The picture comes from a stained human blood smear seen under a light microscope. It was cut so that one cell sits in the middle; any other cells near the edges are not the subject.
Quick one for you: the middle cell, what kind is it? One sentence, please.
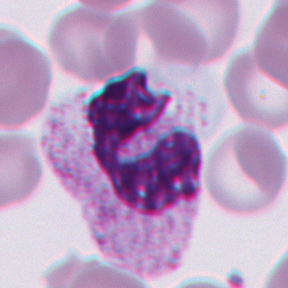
For this crop, the central cell is a segmented neutrophil.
